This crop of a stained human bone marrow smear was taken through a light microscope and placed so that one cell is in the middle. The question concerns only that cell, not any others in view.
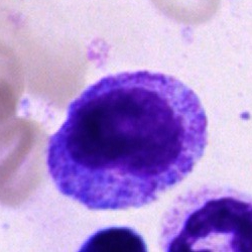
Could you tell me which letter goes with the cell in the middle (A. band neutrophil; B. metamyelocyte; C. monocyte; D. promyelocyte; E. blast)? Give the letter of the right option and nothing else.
D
